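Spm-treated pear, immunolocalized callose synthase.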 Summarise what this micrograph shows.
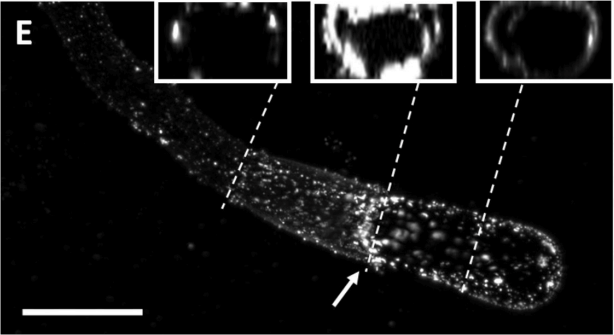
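A single pollen tube is seen, a long cylindrical cell whose end widens slightly into a rounded, blunt tip. Bright fluorescent dots are scattered over the whole surface of the tube, but they gather densely into a band across the tube where the shaft meets the wider tip, marked by an arrow. This is the neck region, and the band of dots there forms a ring around the tube. Three small inset cross-sections show the signal lying around the cell's border as a ring, brighter on some sides than others, with a dark interior.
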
